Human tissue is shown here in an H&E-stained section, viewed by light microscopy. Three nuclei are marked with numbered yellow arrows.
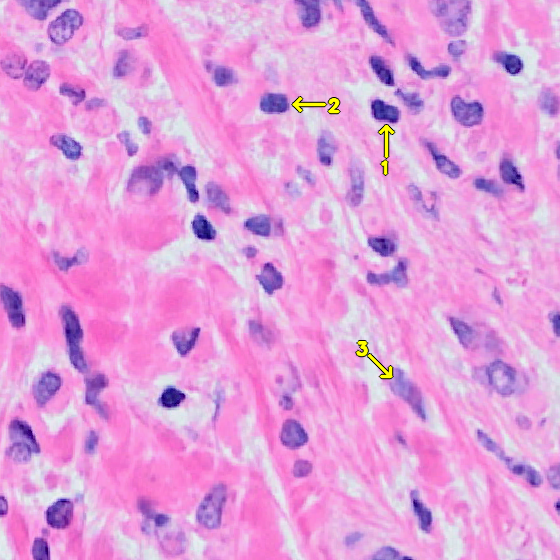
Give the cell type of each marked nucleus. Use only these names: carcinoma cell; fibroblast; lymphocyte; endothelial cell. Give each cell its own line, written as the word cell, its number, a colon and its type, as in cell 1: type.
cell 1: lymphocyte
cell 2: lymphocyte
cell 3: fibroblast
